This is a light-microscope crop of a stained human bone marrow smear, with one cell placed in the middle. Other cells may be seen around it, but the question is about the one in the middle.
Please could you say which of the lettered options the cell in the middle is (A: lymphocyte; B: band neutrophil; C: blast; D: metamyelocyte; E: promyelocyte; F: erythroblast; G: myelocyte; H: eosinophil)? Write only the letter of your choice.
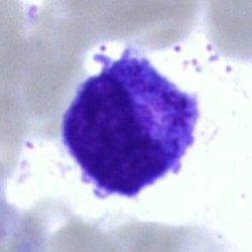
E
